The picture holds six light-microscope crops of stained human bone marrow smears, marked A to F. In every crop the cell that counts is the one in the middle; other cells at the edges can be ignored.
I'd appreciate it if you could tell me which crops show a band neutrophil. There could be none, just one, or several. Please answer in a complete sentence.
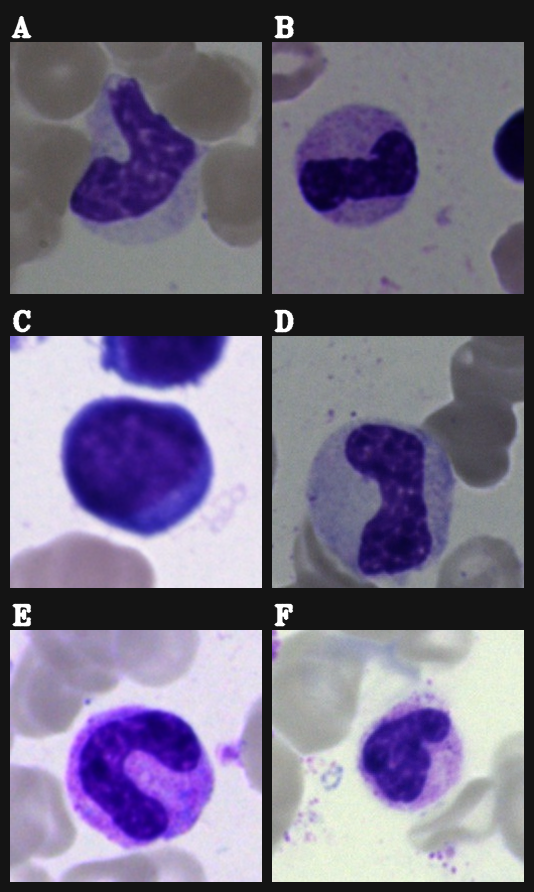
Crops A, B, D and E hold band neutrophils in the centre of the field.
